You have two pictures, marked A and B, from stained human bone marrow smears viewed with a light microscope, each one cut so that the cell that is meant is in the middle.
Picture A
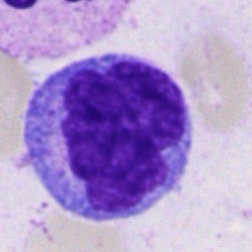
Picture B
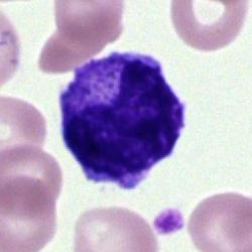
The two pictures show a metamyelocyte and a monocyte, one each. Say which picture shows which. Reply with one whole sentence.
In picture A the cell is a monocyte; in picture B, a metamyelocyte.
